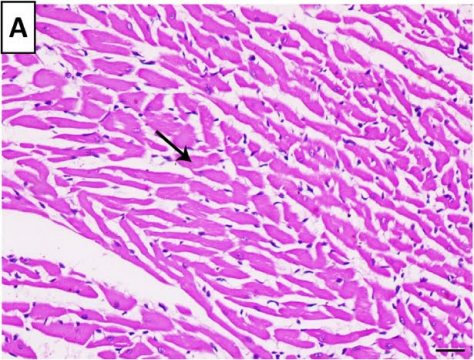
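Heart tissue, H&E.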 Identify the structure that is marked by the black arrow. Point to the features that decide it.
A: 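Elongated pink muscle fibres run in parallel and join one another at angles. Fibres are separated by narrow clear spaces.
Hence: branched myocardial fibers.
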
